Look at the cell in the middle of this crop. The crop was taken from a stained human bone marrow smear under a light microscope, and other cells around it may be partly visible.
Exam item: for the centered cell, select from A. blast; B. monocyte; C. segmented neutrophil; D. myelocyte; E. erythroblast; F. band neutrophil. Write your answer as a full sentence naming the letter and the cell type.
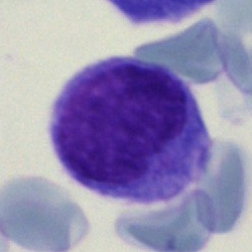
The best answer is option A, since the cell in the middle is a blast.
